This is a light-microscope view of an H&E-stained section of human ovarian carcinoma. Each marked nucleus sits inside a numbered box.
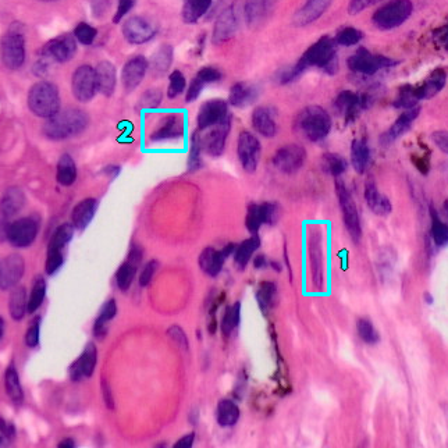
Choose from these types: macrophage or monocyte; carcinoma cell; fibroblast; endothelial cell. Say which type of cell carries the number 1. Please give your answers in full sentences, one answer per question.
The label 1 in this section denotes a fibroblast.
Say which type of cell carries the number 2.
Of the numbered cells, the one labelled 2 is a carcinoma cell.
